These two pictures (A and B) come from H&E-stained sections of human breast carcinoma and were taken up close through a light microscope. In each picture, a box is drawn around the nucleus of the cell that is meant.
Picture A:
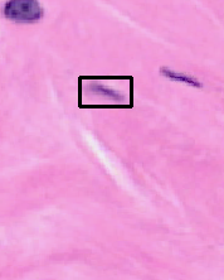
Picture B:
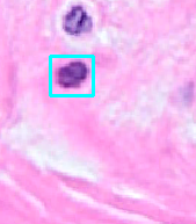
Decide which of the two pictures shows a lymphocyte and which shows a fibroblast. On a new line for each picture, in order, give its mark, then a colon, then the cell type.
A: fibroblast
B: lymphocyte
